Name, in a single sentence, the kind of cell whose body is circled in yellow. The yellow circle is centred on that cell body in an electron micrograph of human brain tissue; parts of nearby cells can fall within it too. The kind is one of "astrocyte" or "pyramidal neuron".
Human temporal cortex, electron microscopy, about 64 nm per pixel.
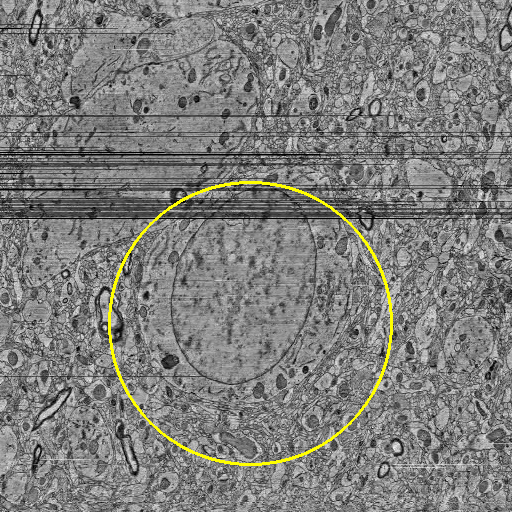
The circled cell body belongs to a pyramidal neuron.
